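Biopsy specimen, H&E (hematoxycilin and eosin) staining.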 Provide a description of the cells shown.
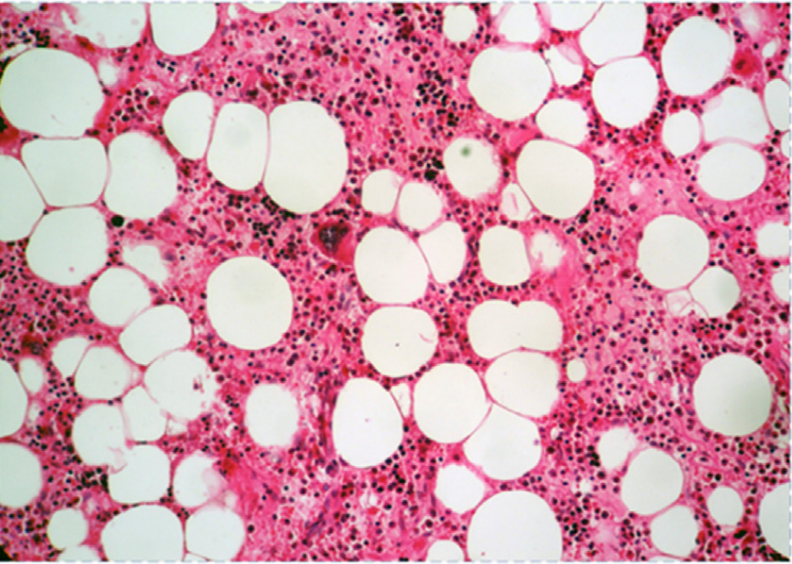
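Mature adipose tissue with a cellular stroma of hematopoietic cells. Large, empty, round to polygonal fat vacuoles of varying size occupy most of the field, some abutting one another with thin walls. Between them lies a pink stroma crowded with mixed cells: many small cells with round, very dark, condensed nuclei, others with paler nuclei and more pink cytoplasm, and scattered red cells. Near the centre sits one very large cell with abundant cytoplasm and a dark, lobulated nucleus. No fibrous capsule or other tissue is seen in this field.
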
